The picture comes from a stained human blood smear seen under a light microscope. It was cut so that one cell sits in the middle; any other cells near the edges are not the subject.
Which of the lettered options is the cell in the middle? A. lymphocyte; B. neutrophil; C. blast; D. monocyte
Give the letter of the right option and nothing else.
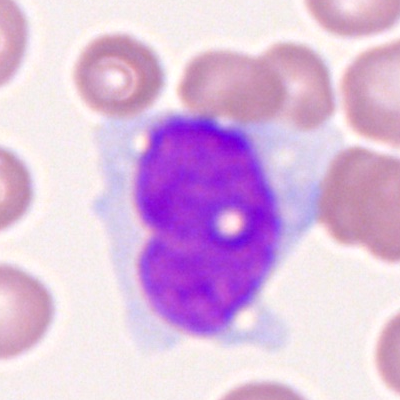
D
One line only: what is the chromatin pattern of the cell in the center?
Its chromatin is finely dispersed rather than coarsely clumped.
